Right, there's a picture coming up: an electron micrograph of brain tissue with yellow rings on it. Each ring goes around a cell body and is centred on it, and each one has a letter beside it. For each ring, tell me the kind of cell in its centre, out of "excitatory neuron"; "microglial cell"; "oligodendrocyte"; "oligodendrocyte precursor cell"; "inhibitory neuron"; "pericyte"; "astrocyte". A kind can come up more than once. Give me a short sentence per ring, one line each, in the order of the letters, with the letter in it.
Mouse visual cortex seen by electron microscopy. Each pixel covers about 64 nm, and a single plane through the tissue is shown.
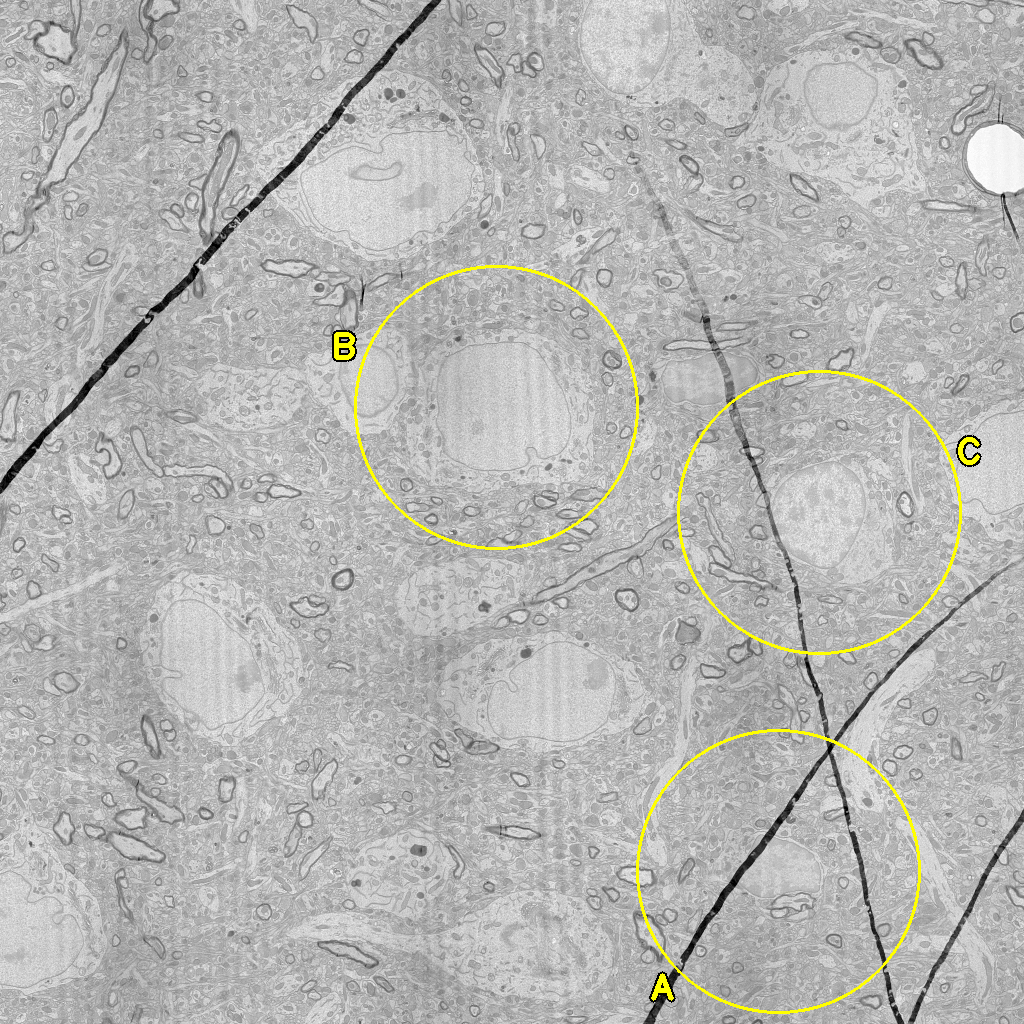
That's a microglial cell in ring A.
That's an excitatory neuron in ring B.
That's an oligodendrocyte in ring C.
